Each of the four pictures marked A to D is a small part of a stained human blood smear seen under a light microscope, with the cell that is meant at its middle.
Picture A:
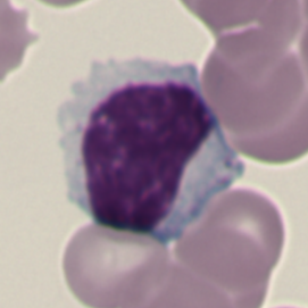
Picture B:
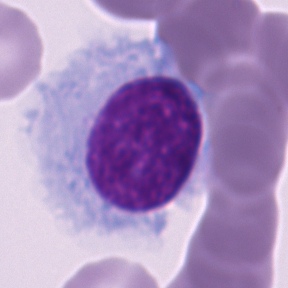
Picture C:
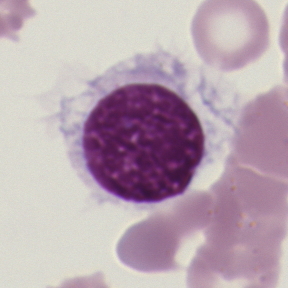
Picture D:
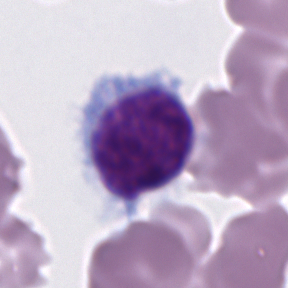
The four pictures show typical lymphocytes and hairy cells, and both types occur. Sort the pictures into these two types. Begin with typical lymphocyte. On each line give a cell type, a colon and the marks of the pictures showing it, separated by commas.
typical lymphocyte: A
hairy cell: B, C, D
